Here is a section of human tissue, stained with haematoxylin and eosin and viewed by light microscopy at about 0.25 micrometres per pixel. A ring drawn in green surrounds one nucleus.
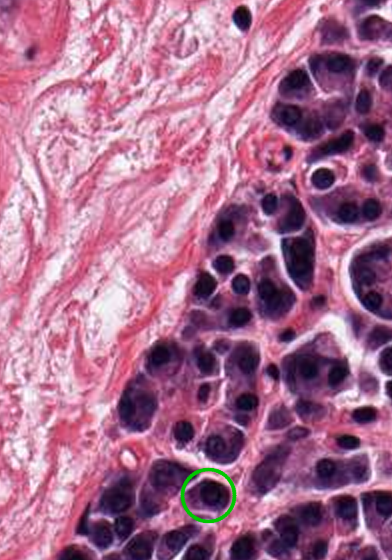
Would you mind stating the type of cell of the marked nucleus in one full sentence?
Located in a pancreatic acinar cell is the marked nucleus.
